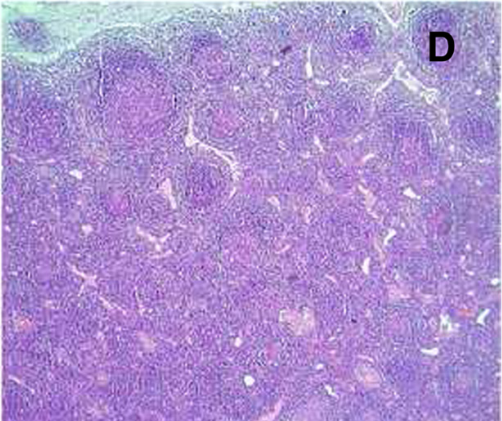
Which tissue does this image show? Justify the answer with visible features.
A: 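Densely cellular purple tissue with many round follicles. So: lymph nodes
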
